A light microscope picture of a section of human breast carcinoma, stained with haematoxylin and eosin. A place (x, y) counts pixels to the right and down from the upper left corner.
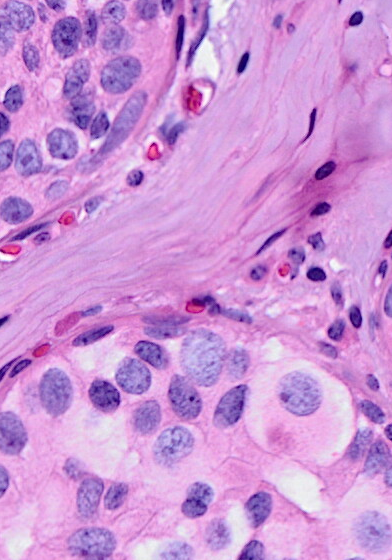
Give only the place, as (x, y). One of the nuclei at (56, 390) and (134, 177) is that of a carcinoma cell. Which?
(56, 390)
